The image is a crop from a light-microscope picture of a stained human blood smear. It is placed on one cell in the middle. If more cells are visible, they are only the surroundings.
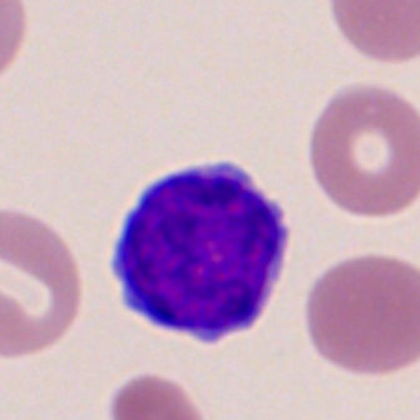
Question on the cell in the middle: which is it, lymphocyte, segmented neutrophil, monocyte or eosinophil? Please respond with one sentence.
The cell the crop is centered on is a lymphocyte.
